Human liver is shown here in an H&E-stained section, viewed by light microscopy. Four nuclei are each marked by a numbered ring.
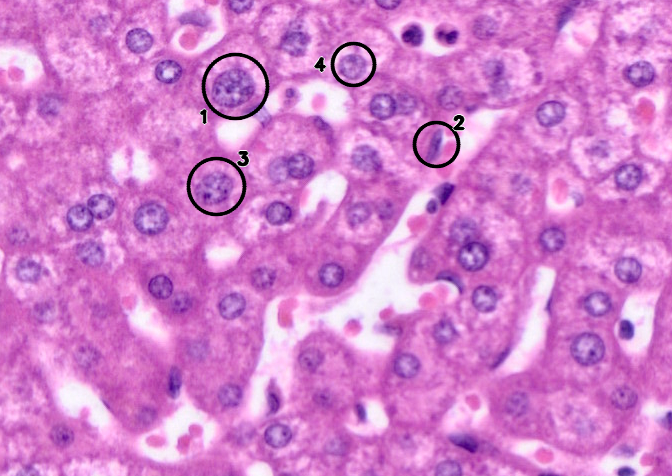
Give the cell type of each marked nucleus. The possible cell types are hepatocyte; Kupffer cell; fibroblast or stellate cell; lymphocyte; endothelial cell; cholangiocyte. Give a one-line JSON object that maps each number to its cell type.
{"1": "hepatocyte", "2": "endothelial cell", "3": "hepatocyte", "4": "hepatocyte"}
